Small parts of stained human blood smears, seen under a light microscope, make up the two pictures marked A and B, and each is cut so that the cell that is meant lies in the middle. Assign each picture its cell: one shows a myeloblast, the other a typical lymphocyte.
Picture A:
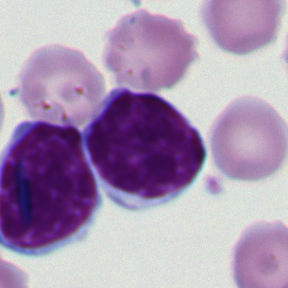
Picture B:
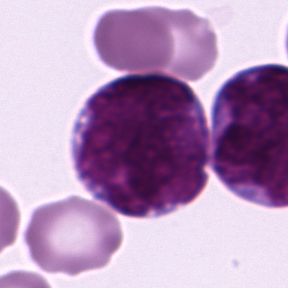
A: typical lymphocyte
B: myeloblast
